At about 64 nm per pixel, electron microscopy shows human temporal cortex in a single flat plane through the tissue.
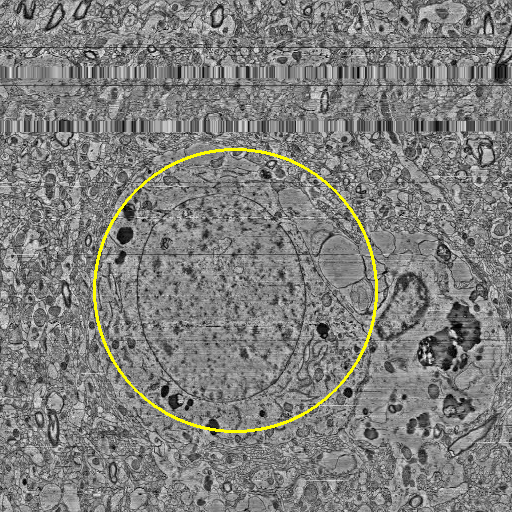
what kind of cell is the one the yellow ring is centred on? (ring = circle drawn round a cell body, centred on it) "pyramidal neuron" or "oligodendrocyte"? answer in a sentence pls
The ring is drawn around a pyramidal neuron.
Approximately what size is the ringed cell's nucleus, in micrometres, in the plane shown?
About 14 by 11 micrometers for the nucleus, in this plane.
